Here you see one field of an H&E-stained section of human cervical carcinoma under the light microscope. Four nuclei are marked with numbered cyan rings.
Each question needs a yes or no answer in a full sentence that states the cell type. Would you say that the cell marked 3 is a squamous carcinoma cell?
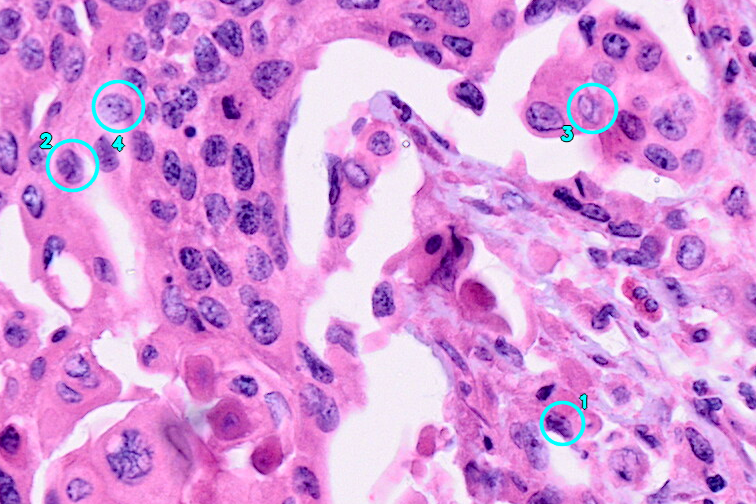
Yes, the cell to which number 3 refers is a squamous carcinoma cell.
